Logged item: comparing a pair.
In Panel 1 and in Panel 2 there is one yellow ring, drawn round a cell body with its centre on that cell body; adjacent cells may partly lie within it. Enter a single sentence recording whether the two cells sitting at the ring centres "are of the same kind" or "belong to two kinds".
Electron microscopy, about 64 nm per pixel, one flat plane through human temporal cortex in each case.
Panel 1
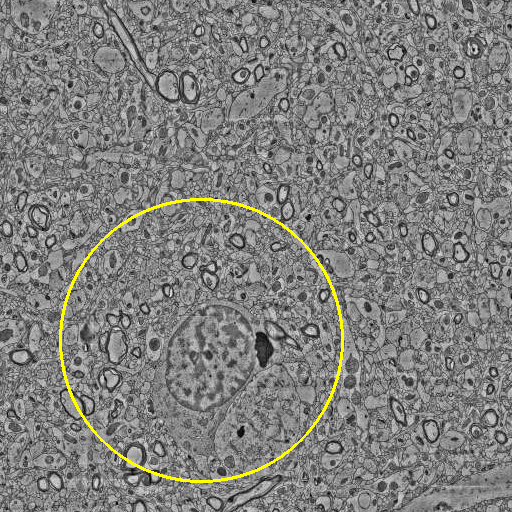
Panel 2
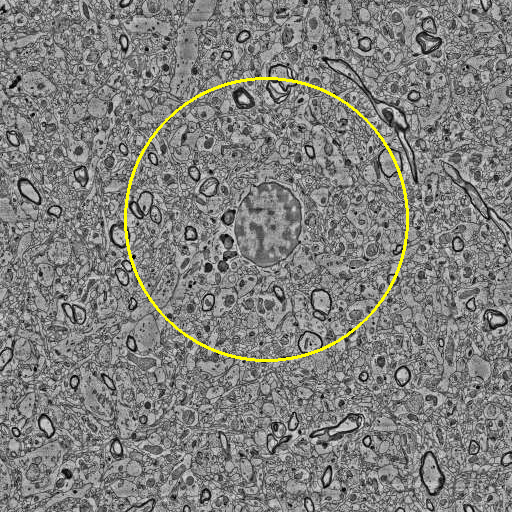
Logged: the cells centred in the rings of Panel 1 and Panel 2 belong to two kinds.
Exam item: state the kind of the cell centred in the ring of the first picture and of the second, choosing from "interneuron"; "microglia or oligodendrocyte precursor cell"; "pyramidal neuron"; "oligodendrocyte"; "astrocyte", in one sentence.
The first picture shows an oligodendrocyte at the ring centre and the second shows a microglial cell or oligodendrocyte precursor cell.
